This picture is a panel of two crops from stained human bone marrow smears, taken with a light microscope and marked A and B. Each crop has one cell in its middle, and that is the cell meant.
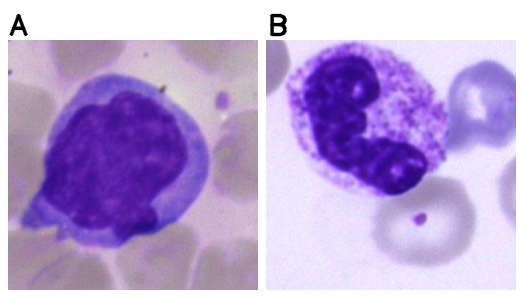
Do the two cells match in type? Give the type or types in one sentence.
No, a monocyte and a segmented neutrophil are found in crop A and crop B, respectively.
